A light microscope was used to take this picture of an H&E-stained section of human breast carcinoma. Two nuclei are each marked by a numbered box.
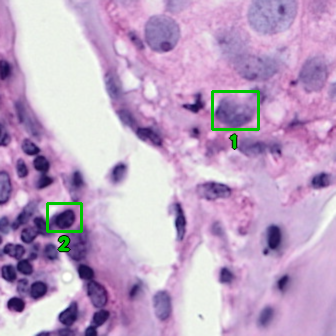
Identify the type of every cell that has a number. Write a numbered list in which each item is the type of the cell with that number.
1. carcinoma cell
2. lymphocyte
